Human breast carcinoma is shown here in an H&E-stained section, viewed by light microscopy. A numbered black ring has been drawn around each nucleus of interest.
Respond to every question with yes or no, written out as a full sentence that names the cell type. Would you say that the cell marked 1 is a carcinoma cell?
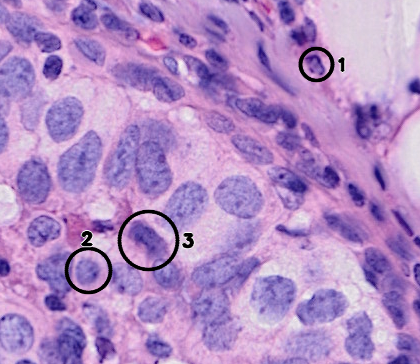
No, a carcinoma cell is not what cell 1 is; it is a mast cell.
